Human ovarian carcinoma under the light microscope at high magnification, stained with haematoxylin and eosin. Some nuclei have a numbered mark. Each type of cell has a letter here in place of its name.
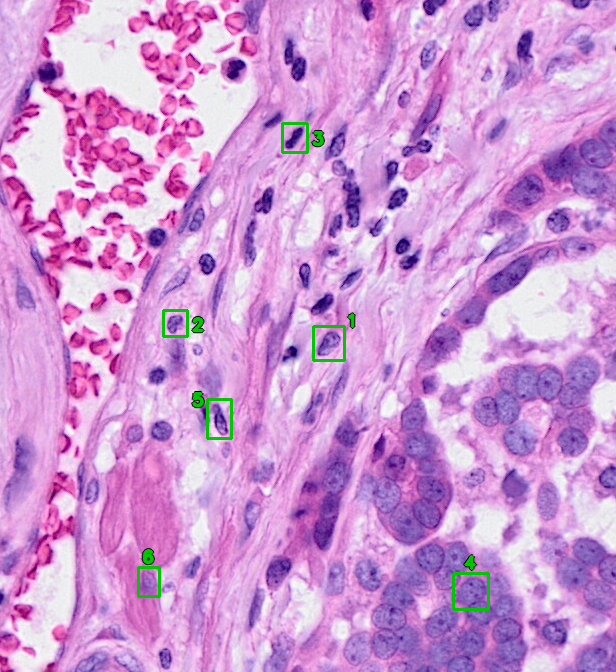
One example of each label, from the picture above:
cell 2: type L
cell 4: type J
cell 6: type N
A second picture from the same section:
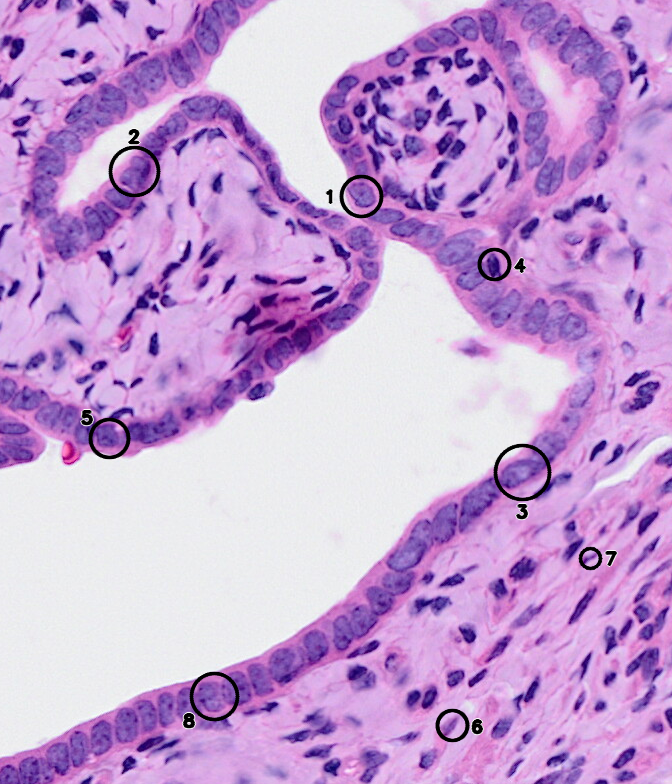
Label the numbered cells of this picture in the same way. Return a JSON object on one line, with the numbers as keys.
{"1": "type J", "2": "type J", "3": "type J", "4": "type L", "5": "type J", "6": "type N", "7": "type N", "8": "type J"}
